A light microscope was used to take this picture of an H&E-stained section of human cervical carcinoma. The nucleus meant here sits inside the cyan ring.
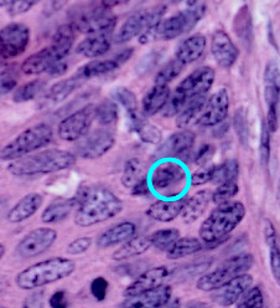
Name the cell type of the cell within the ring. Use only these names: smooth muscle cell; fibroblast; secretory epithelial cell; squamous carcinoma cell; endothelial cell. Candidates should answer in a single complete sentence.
It is as a squamous carcinoma cell that the cell within the ring is recorded.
